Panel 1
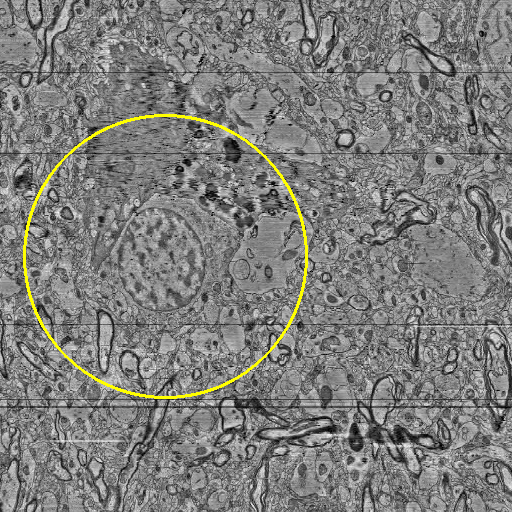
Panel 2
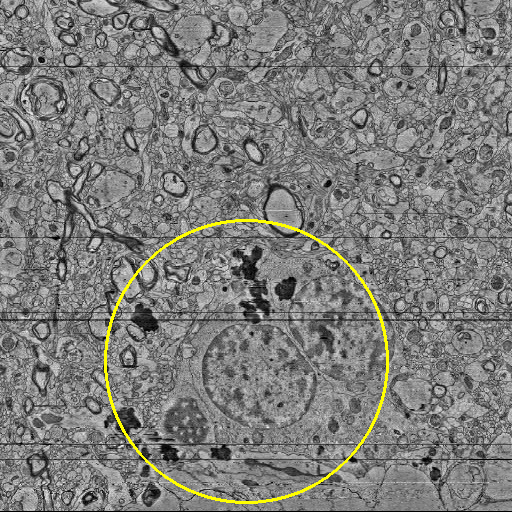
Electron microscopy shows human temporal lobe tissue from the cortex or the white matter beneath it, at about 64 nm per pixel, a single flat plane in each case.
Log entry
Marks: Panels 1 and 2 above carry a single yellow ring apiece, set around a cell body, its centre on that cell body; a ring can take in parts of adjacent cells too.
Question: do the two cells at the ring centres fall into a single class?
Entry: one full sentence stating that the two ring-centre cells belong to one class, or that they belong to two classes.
The two ring-centre cells in Panels 1 and 2 belong to one class.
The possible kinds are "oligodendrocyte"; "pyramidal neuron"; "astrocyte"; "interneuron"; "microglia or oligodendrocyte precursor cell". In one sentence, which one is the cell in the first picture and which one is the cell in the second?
Each of the two cells is an oligodendrocyte.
